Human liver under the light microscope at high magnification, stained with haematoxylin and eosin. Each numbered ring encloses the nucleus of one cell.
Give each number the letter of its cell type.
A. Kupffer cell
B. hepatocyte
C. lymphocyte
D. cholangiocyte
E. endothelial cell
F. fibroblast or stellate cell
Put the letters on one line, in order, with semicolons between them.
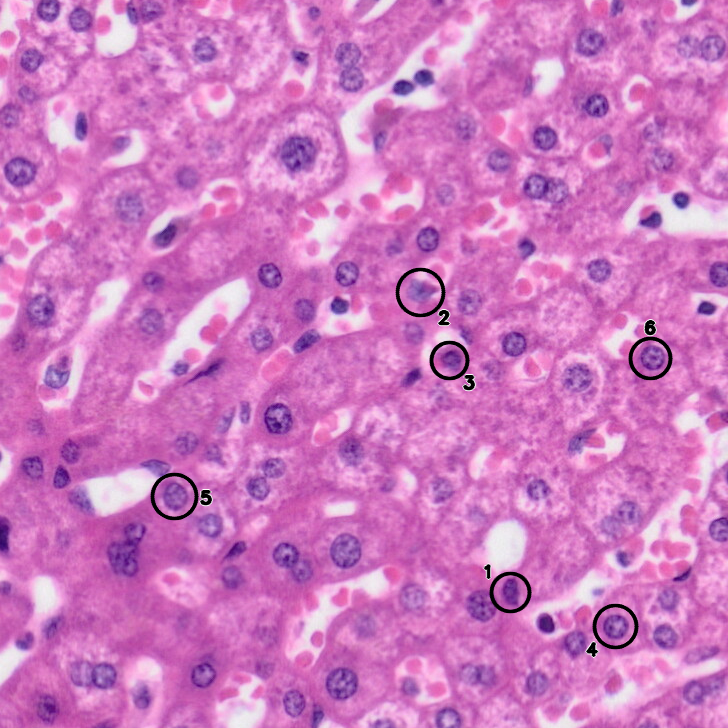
F; E; A; B; B; B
